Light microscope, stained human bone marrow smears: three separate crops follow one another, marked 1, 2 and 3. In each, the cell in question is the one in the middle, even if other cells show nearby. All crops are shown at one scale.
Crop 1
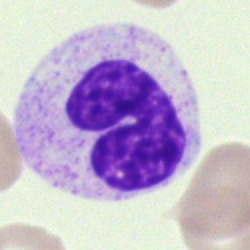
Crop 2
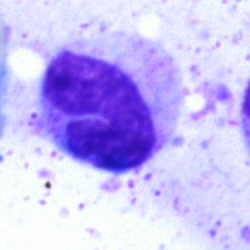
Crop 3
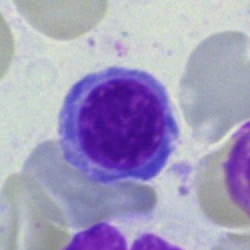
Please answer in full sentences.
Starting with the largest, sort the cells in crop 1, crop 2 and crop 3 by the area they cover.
From the largest down, the order is 1, 2, 3.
